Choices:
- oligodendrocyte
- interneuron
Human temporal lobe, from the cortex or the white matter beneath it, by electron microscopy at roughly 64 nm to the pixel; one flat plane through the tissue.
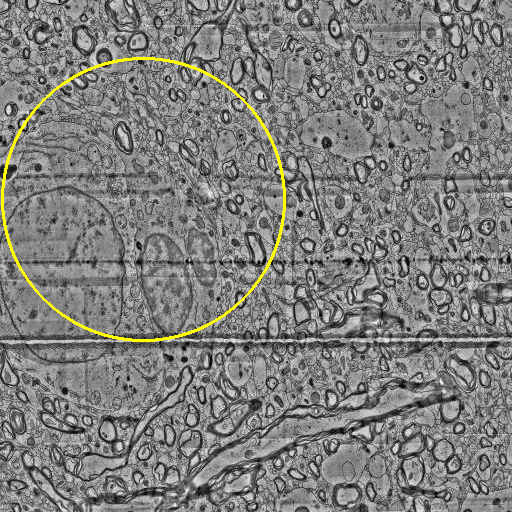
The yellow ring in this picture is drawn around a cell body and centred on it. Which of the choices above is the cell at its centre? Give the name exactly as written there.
oligodendrocyte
